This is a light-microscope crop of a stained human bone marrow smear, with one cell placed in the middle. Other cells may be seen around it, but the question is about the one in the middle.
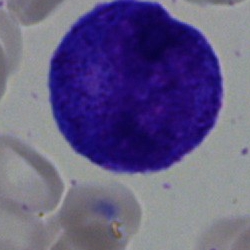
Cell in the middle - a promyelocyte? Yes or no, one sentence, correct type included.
Yes, the cell centred in this crop is a promyelocyte.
